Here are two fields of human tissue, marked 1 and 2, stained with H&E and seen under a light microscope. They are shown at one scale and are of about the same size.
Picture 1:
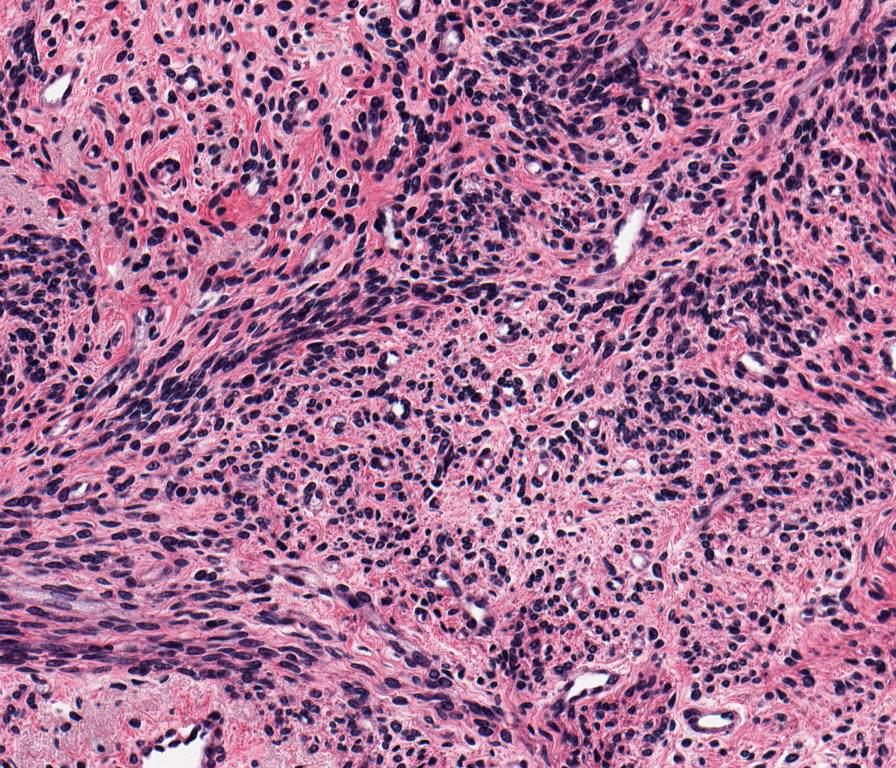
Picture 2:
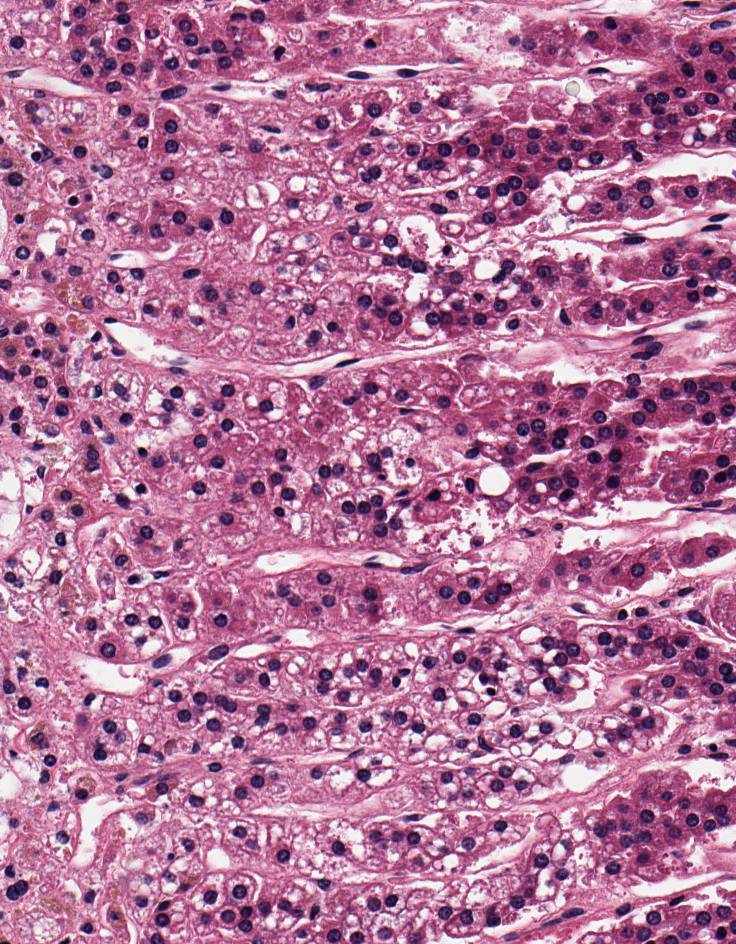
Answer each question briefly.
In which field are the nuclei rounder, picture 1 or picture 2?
2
